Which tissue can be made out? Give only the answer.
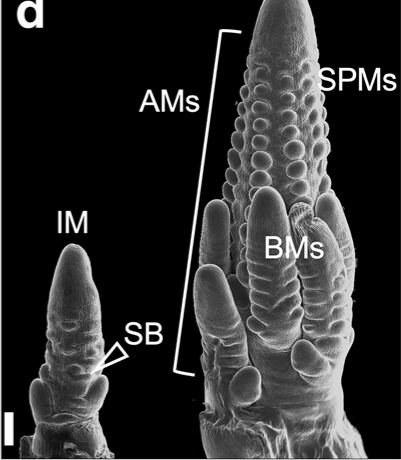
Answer: developing tassel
